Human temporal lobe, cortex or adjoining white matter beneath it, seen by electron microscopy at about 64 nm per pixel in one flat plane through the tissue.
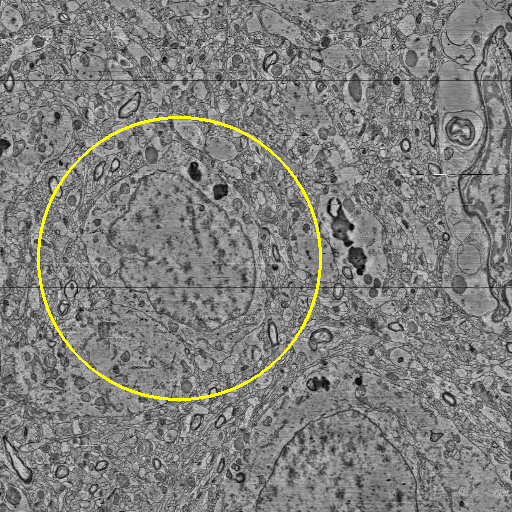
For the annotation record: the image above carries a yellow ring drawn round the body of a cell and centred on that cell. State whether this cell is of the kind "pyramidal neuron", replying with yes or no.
No, this cell is of another kind.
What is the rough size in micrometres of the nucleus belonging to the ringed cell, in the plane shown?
Roughly 11 by 9 micrometres in this plane, for the nucleus of the ringed cell.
